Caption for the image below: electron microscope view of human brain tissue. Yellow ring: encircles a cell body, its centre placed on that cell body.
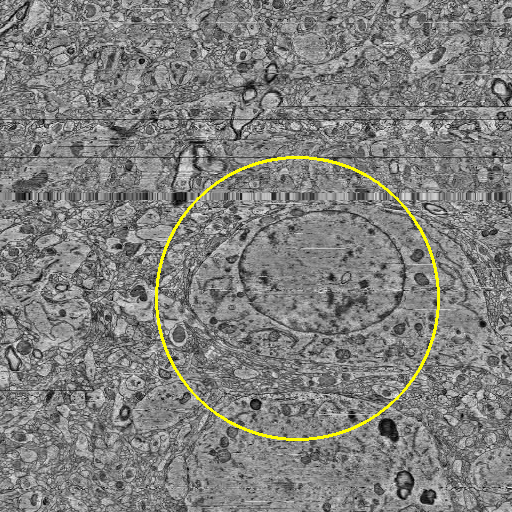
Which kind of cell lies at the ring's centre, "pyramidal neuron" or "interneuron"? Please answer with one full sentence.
The picture shows a pyramidal neuron at the centre of the yellow ring.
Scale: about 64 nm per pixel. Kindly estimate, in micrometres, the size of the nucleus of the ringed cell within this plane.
The nucleus of the ringed cell is approximately 11 by 8 micrometres in this plane.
